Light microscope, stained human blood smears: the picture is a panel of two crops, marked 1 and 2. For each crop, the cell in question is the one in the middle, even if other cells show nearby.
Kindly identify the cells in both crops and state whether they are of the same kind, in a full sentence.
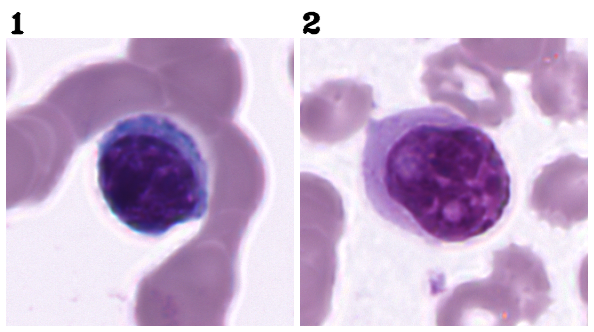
Yes, in both of the crops, the central cells are plasma cells.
